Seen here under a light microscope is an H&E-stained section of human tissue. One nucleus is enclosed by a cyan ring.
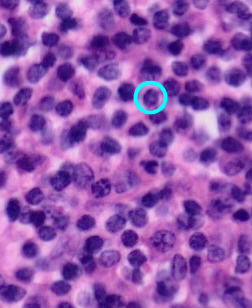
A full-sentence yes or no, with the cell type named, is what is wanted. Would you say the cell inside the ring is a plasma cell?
No, the cell inside the ring is a small lymphocyte rather than a plasma cell in this section.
